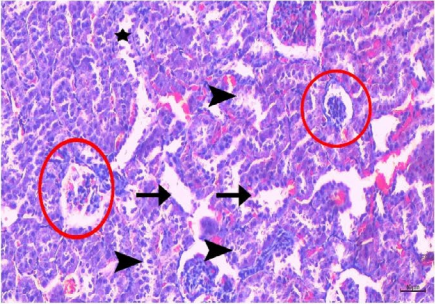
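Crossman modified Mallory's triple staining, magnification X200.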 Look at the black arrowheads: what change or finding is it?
Degenerative tubules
